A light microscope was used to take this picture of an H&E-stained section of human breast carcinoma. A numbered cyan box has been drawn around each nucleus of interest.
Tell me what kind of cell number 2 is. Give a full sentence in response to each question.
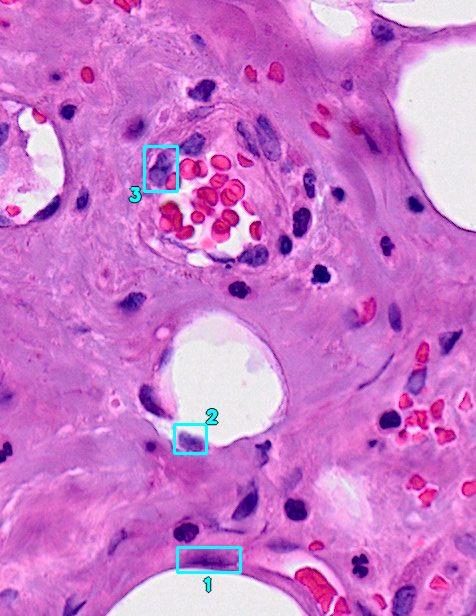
In this section, the cell tagged 2 is a fibroblast.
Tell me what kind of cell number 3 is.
The identity of cell 3 is that of an endothelial cell.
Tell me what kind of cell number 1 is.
What the number 1 marks in this field is a fibroblast.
